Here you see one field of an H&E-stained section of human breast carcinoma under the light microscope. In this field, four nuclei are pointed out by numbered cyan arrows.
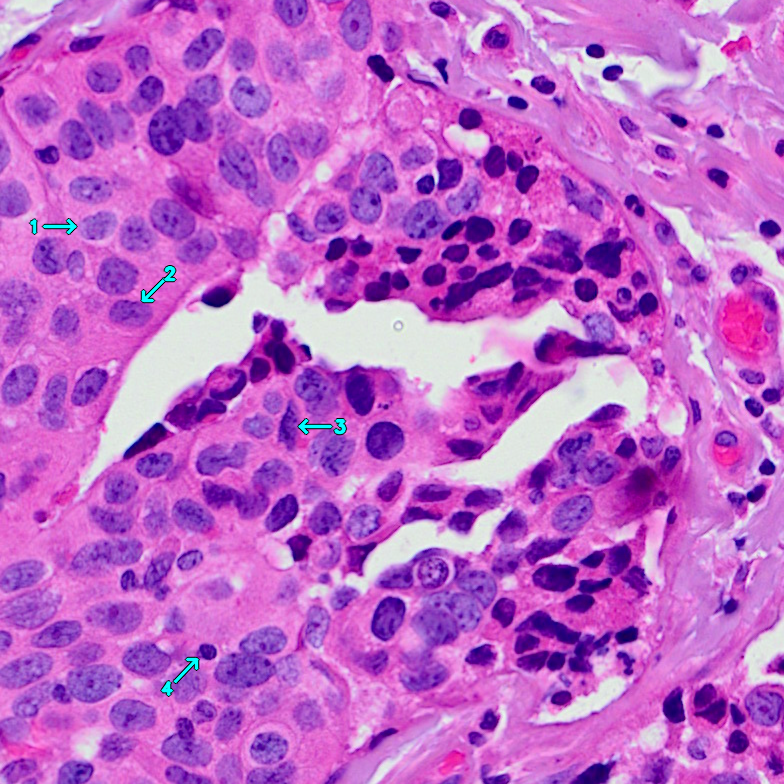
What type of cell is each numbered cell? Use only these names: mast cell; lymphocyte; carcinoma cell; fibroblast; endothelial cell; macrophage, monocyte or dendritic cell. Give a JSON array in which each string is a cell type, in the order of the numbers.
["carcinoma cell", "carcinoma cell", "carcinoma cell", "lymphocyte"]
